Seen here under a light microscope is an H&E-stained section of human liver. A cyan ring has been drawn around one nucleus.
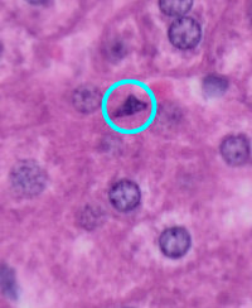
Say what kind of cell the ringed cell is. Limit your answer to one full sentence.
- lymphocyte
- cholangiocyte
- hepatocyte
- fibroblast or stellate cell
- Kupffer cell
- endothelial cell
To be brief about it, the ringed cell is a fibroblast or stellate cell.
